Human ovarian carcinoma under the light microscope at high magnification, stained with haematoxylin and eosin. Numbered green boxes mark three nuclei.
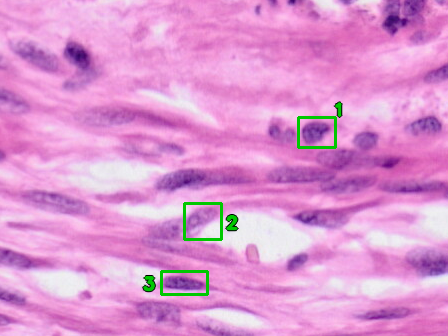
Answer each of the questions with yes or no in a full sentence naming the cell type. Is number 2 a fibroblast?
Yes, exactly, the cell numbered 2 is a fibroblast.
